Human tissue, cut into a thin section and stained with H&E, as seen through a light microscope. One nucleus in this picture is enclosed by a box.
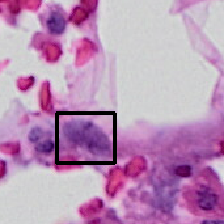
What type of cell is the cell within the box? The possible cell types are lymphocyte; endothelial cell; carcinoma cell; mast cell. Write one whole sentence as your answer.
This is an endothelial cell.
